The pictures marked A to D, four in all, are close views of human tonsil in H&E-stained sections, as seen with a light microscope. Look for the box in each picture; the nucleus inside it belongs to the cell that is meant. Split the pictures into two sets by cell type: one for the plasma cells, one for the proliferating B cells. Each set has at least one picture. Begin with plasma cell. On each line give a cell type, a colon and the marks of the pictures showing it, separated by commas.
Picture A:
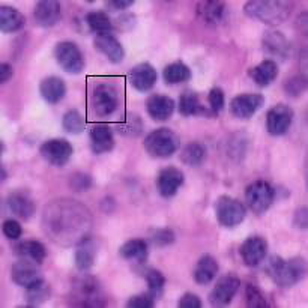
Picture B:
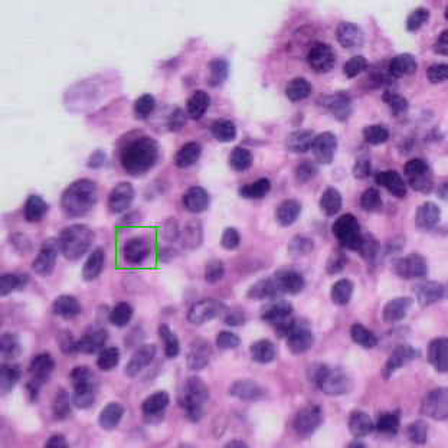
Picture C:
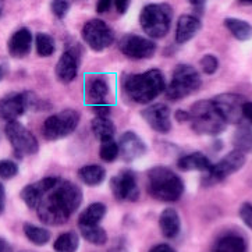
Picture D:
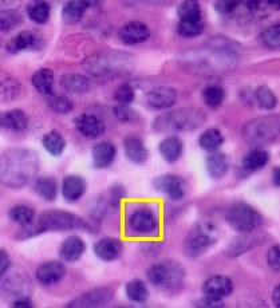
plasma cell: A, D
proliferating B cell: B, C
